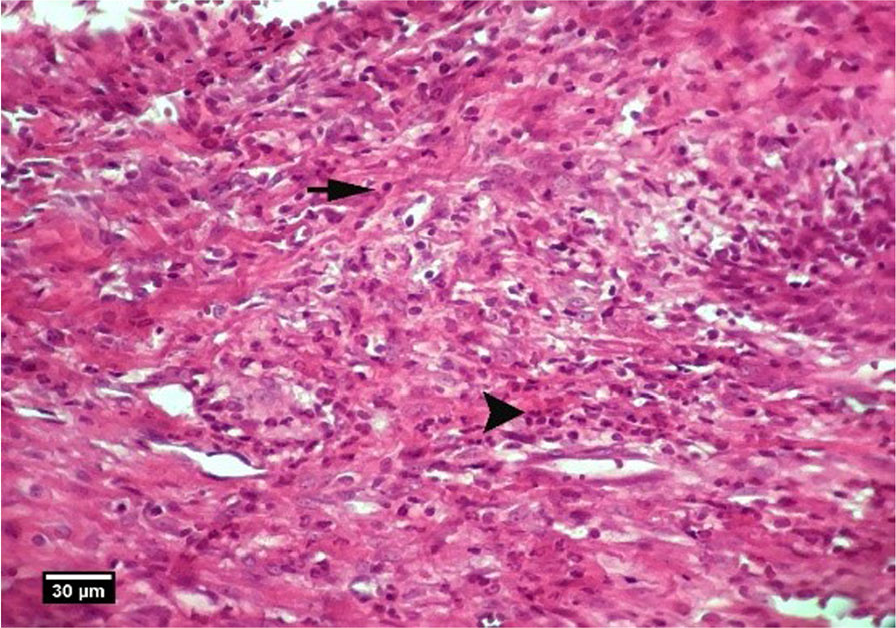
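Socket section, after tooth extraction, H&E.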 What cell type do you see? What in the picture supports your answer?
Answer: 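Many small, dark, round nuclei are packed densely through the tissue. Dense cellular areas lie among pink fibrous strands. On this evidence: inflammatory cells.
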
